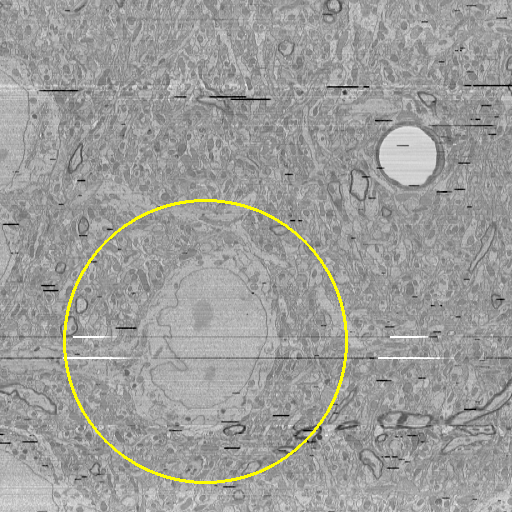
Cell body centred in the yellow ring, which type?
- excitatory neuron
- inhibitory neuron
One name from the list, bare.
excitatory neuron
